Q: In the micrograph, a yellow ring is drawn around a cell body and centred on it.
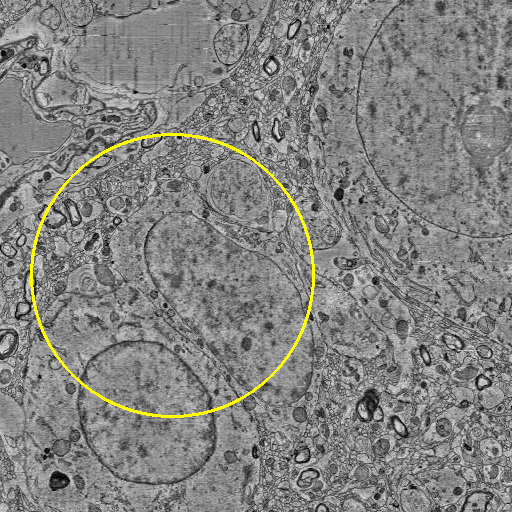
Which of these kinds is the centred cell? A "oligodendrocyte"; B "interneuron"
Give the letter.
B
